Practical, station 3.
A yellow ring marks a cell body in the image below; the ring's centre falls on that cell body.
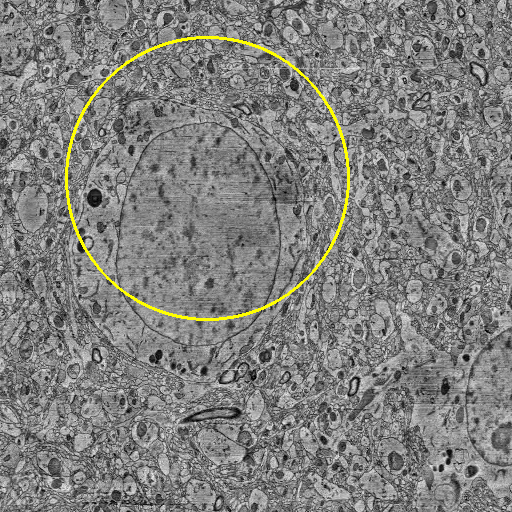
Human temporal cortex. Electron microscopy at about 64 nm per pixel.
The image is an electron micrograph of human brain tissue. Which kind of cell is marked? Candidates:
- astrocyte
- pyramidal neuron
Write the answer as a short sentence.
The marked cell body is that of a pyramidal neuron.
